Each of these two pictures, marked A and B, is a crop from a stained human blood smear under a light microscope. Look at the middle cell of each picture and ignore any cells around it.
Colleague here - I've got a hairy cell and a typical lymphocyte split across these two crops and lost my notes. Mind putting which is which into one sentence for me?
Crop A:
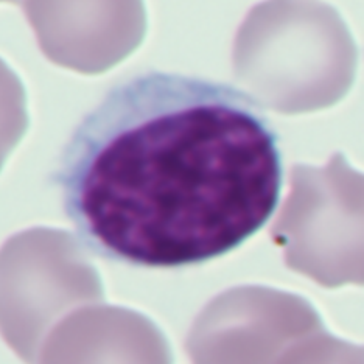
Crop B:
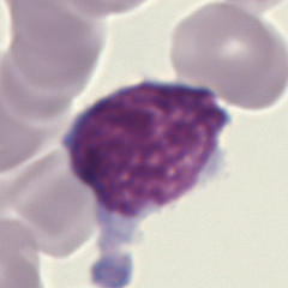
Whereas crop A contains a hairy cell, crop B contains a typical lymphocyte.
